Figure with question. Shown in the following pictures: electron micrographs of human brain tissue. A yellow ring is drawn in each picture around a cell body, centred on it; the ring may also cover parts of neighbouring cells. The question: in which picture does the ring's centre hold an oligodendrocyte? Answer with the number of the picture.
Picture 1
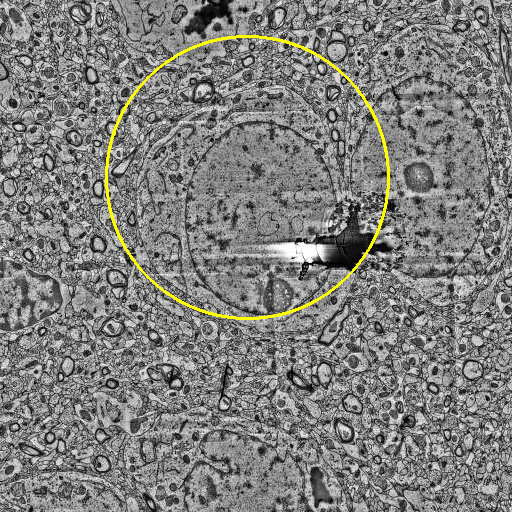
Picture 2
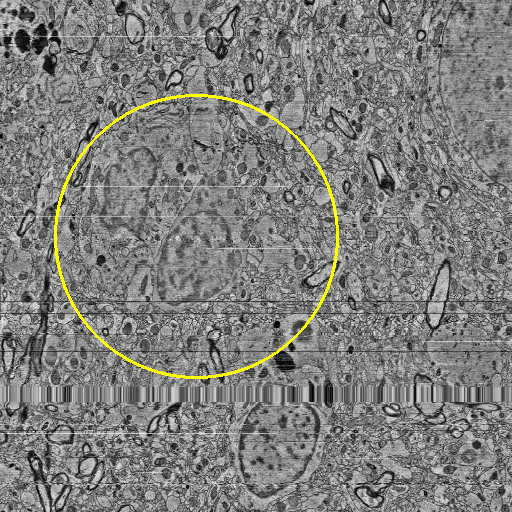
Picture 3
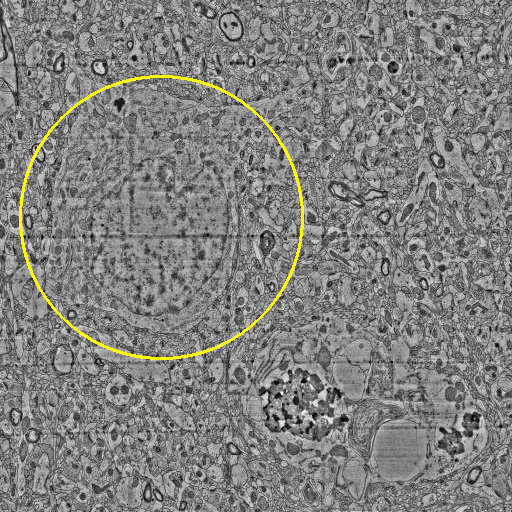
2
